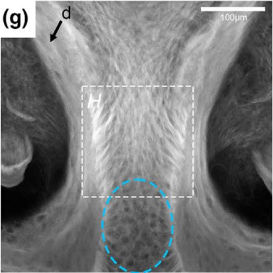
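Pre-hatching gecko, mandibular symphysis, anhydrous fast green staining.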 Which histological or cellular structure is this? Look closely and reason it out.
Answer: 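A dense band of fine, bright fibres runs through the middle of the field. The band narrows in the middle and widens toward both ends. The answer: collagen fibres.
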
